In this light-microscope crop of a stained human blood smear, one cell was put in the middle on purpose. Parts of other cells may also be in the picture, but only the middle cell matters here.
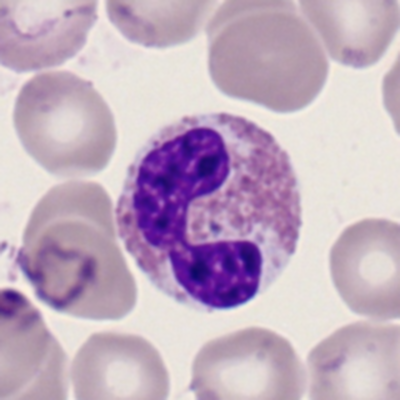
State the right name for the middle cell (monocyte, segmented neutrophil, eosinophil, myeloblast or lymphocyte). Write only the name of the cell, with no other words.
eosinophil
